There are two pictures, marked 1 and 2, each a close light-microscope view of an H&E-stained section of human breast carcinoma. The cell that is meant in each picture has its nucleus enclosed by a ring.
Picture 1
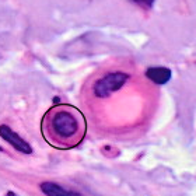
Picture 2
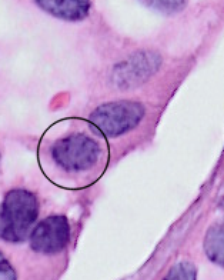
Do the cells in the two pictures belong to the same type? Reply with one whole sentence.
No, the types are not the same, since picture 1 shows a mast cell and picture 2 a carcinoma cell.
